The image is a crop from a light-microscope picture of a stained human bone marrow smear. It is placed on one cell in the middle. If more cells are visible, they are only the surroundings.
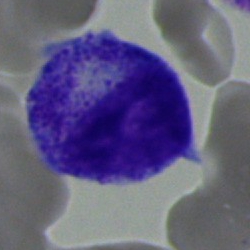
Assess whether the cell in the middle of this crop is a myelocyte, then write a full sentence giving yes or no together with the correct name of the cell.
Yes, the centered cell in this field is a myelocyte.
